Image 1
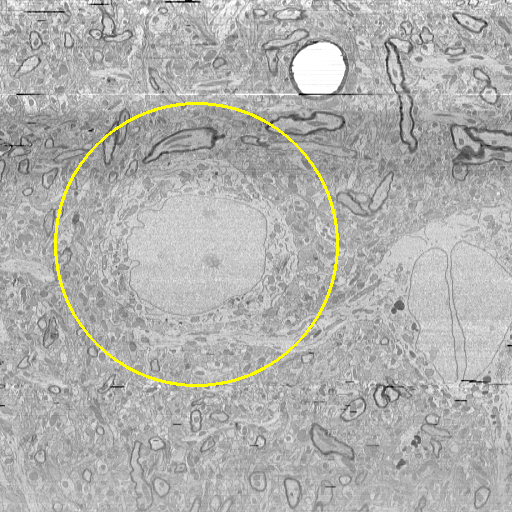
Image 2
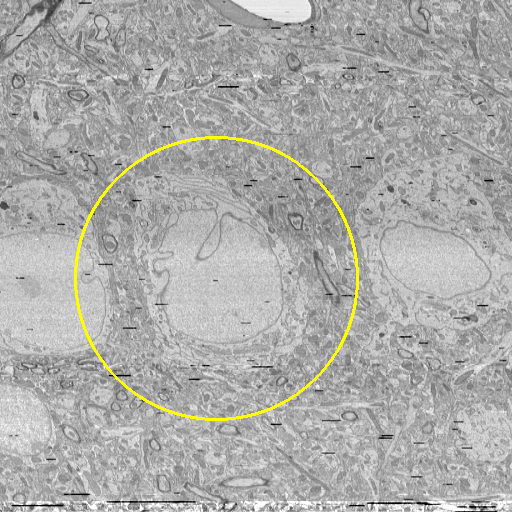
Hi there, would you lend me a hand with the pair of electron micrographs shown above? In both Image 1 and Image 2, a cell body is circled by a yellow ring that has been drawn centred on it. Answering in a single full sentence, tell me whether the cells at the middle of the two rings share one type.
Yes, the ringed cells in Image 1 and Image 2 share one type.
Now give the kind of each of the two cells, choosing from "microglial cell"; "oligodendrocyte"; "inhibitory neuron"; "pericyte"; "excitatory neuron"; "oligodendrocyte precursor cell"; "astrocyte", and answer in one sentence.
Each of the two rings is centred on an inhibitory neuron.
